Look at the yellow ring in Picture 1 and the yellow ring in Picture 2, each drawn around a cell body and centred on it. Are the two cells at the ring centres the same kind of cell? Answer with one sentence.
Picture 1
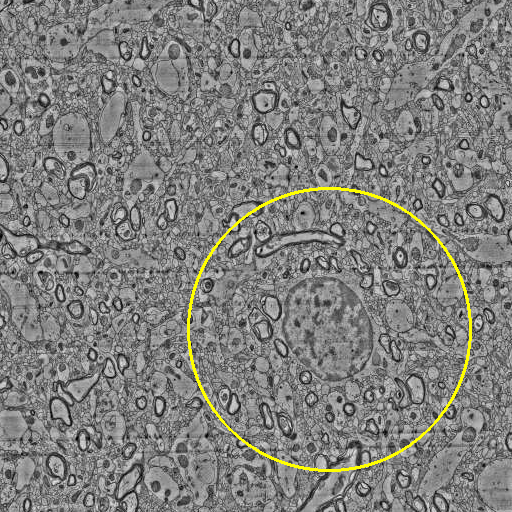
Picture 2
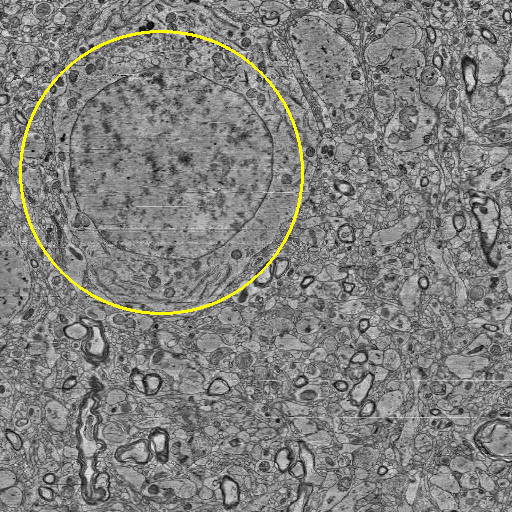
No, they are cells of two kinds.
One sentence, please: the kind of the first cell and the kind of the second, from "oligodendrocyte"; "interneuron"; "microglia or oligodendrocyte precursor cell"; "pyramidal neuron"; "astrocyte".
The ring in the first picture surrounds an oligodendrocyte, and the ring in the second surrounds an interneuron.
